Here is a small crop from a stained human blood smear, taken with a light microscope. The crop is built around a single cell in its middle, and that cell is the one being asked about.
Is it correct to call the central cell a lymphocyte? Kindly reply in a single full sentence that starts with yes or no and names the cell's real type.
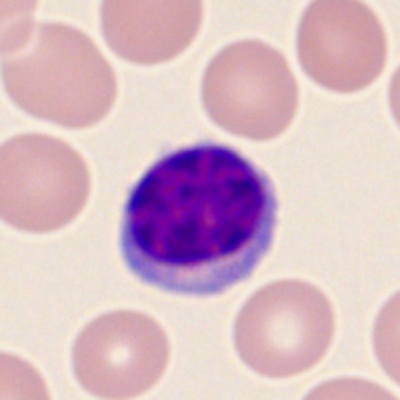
Yes, placed in the middle of the crop is a lymphocyte.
